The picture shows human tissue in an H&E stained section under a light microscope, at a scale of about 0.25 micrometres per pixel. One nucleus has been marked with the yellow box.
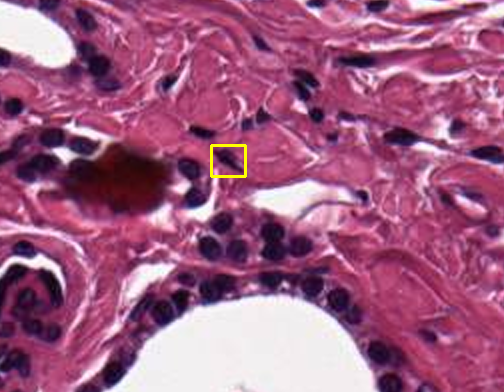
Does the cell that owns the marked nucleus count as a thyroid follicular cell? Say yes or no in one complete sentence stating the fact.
No, the marked nucleus is not that of a thyroid follicular cell but that of a supporting cell.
